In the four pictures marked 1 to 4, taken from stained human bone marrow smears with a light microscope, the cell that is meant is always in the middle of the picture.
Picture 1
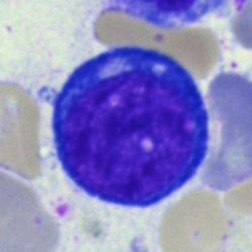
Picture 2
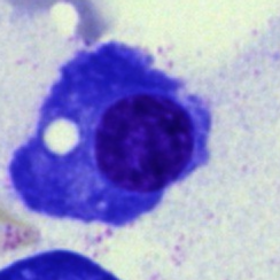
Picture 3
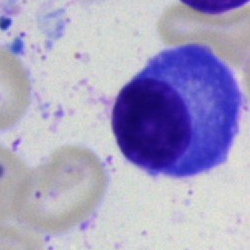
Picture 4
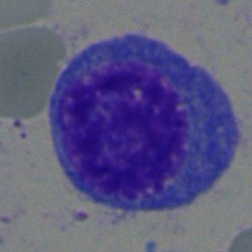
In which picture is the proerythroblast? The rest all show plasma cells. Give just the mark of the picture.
1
